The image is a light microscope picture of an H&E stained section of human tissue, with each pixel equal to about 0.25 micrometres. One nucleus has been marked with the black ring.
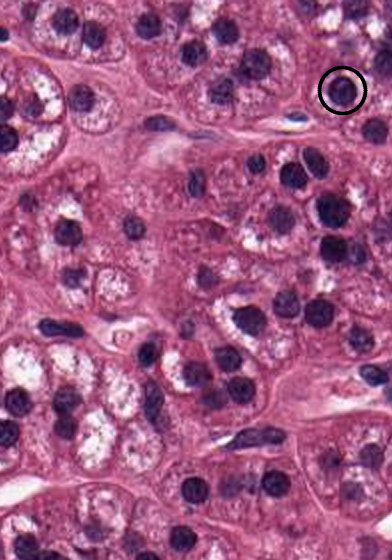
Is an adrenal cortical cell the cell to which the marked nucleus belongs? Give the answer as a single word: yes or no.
yes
